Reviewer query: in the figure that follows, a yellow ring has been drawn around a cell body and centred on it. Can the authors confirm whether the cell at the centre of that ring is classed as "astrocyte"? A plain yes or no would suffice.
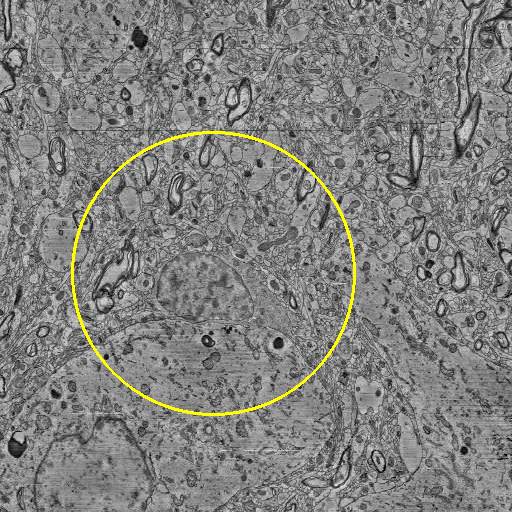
no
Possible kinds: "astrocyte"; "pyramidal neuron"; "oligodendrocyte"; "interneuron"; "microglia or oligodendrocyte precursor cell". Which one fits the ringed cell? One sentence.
As it turns out, the cell at the ring centre is an oligodendrocyte.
